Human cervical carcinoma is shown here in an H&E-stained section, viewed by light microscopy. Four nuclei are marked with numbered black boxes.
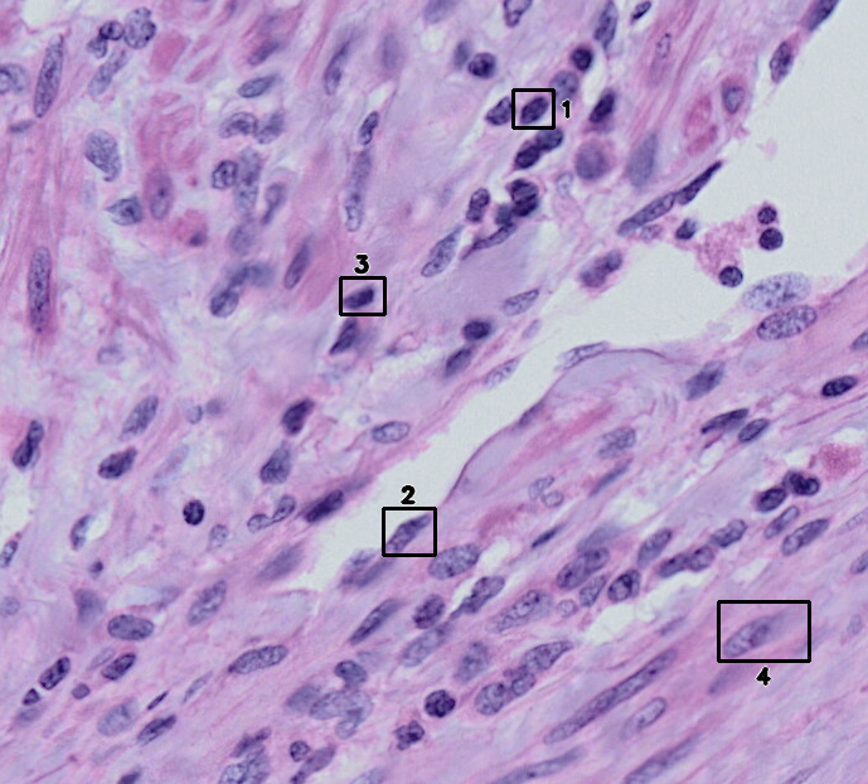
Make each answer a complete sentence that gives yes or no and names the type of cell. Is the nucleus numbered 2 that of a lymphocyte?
No, cell 2 is to be read as an endothelial cell, not a lymphocyte.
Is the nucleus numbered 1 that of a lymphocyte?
Yes, to put it simply, cell number 1 is a lymphocyte.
